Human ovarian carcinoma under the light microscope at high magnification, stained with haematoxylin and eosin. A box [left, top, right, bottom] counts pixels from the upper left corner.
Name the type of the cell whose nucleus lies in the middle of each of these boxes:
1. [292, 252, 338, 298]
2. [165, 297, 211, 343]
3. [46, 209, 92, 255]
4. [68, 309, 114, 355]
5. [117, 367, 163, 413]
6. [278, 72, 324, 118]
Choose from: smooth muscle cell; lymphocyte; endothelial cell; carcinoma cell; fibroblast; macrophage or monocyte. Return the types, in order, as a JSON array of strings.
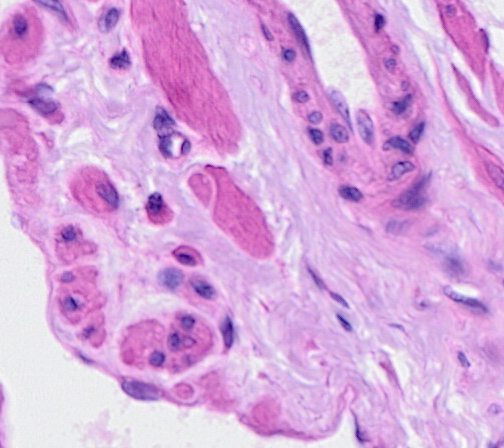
["fibroblast", "smooth muscle cell", "smooth muscle cell", "smooth muscle cell", "endothelial cell", "smooth muscle cell"]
